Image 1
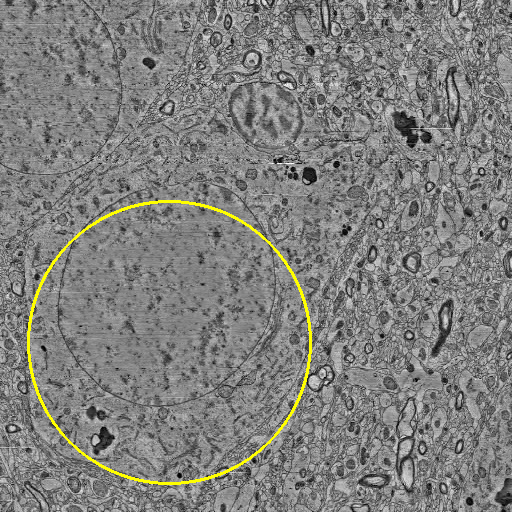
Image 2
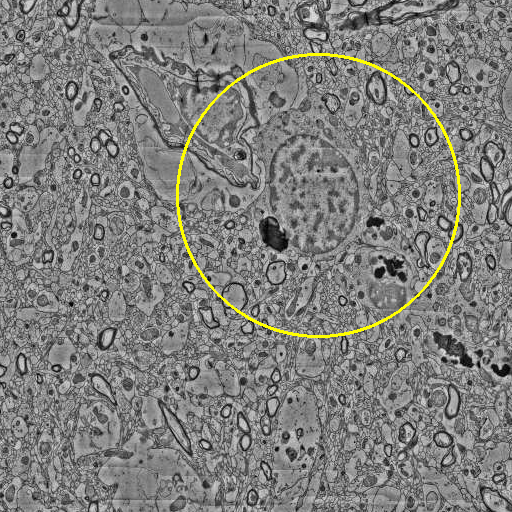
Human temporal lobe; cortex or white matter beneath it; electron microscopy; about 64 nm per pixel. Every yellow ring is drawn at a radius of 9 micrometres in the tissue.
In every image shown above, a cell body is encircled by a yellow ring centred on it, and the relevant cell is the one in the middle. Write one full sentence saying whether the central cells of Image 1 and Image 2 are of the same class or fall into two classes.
The cell at the ring's centre in Image 1 and its counterpart in Image 2 fall into two classes.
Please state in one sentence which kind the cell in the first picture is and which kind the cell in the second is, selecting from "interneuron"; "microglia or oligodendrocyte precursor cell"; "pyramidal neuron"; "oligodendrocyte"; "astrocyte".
The first ringed cell is a pyramidal neuron, the second ringed cell an oligodendrocyte.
